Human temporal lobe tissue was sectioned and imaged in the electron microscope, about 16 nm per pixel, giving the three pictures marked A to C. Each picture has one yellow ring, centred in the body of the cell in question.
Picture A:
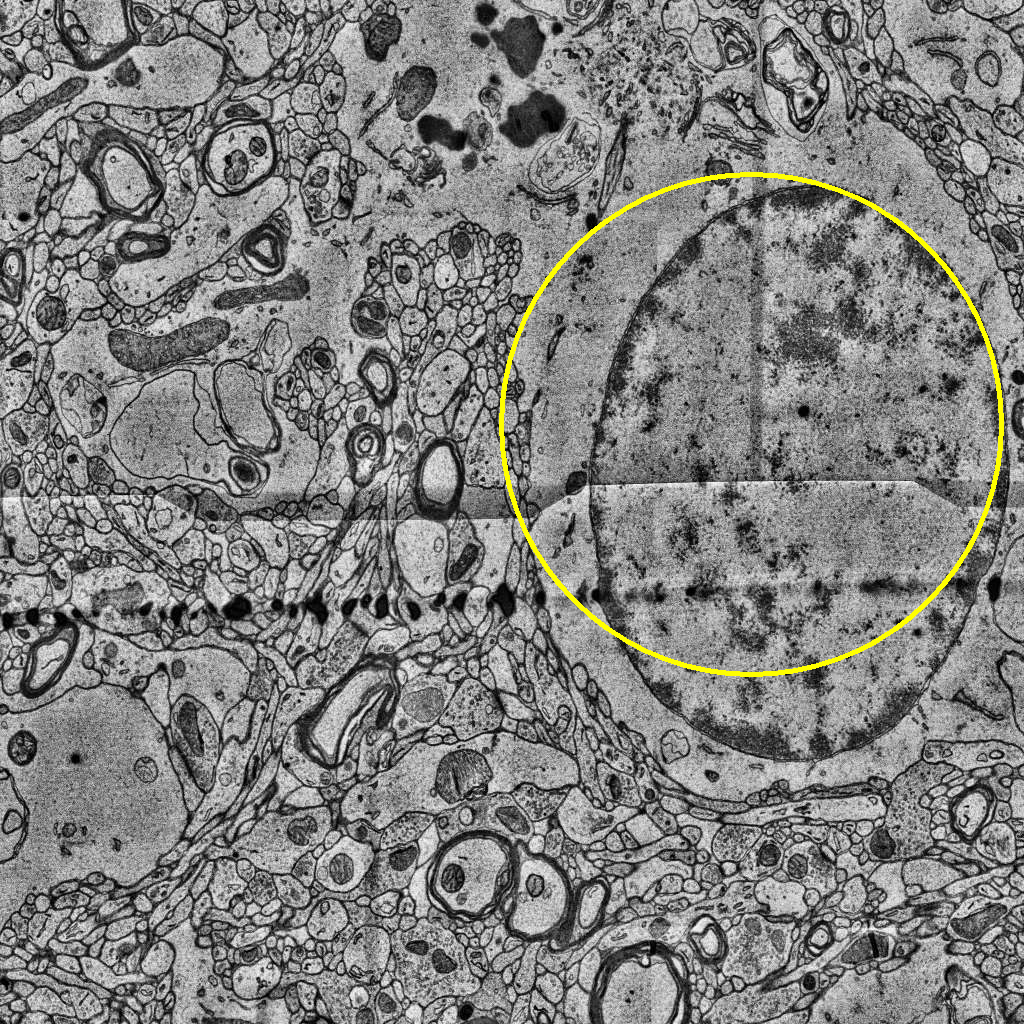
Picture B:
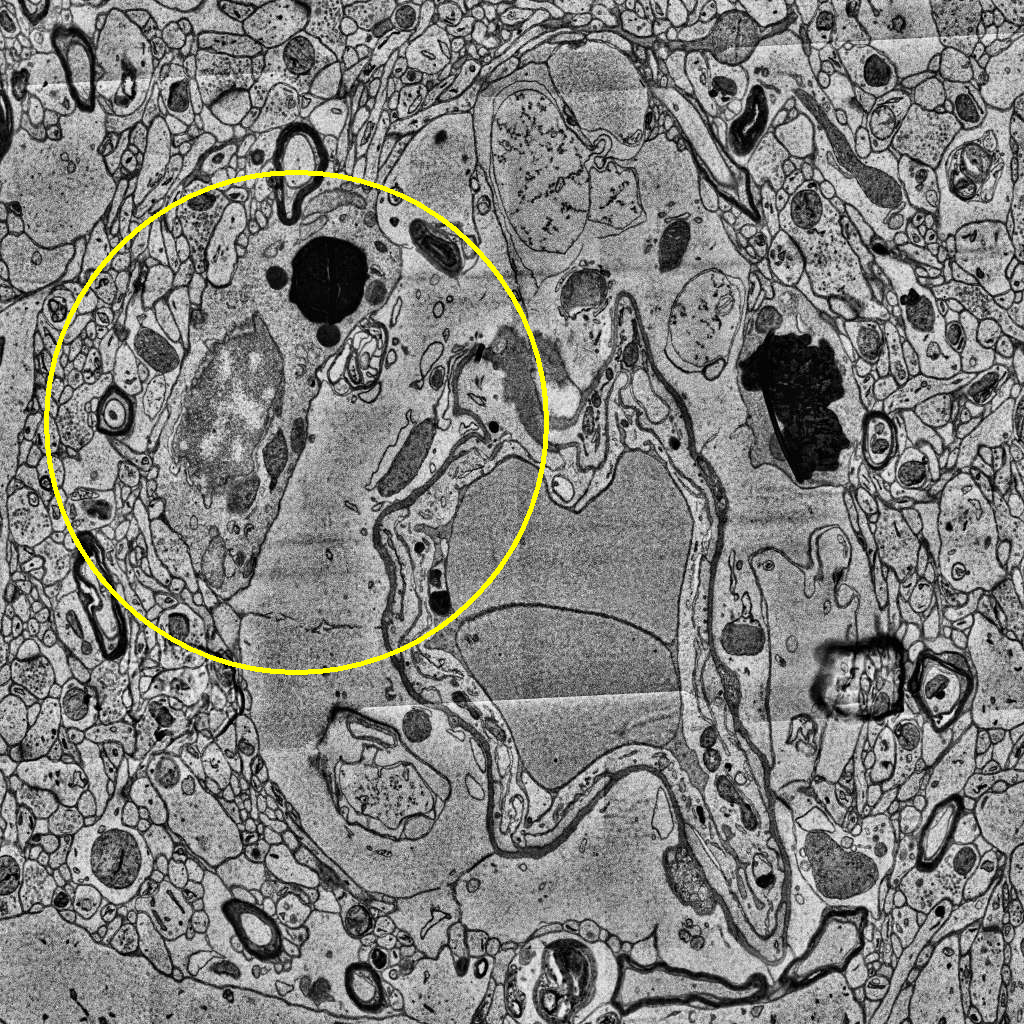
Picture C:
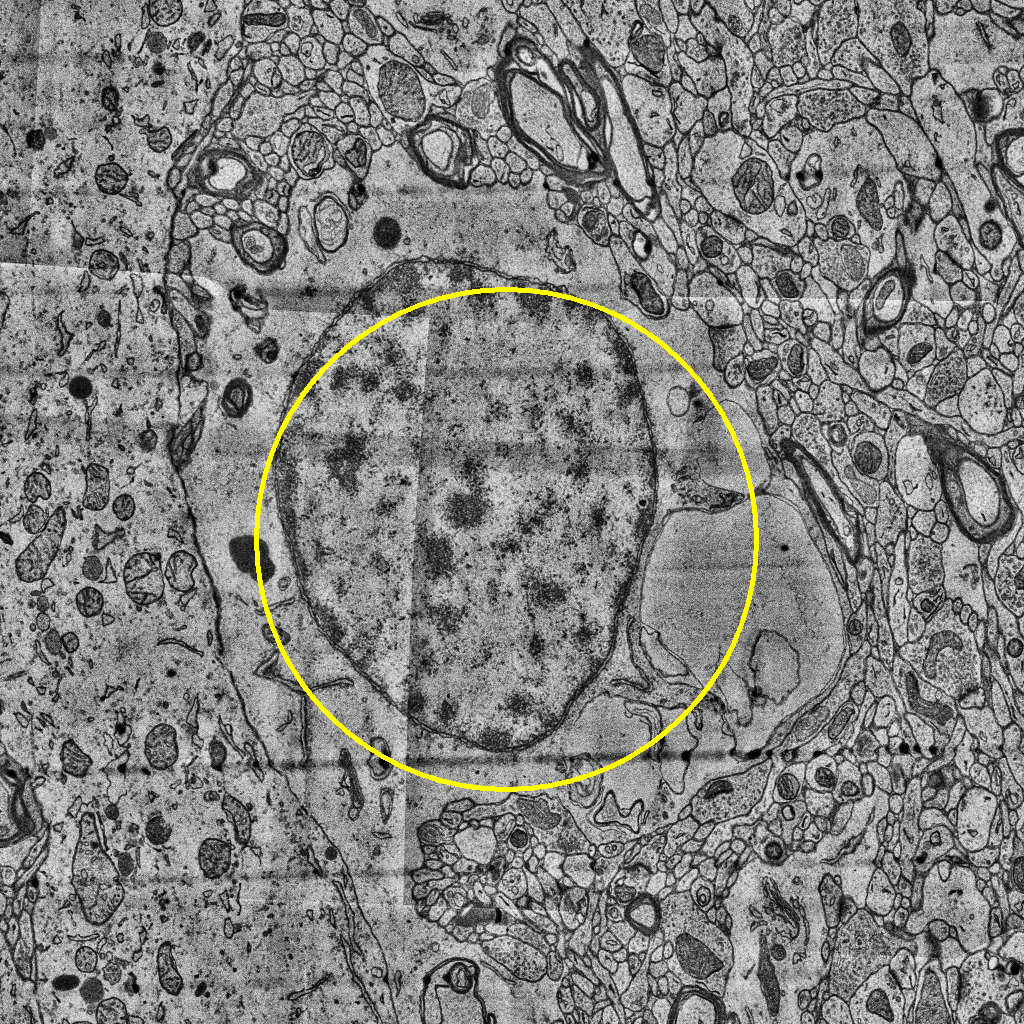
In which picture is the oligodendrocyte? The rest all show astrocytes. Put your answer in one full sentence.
The picture with the oligodendrocyte is B.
